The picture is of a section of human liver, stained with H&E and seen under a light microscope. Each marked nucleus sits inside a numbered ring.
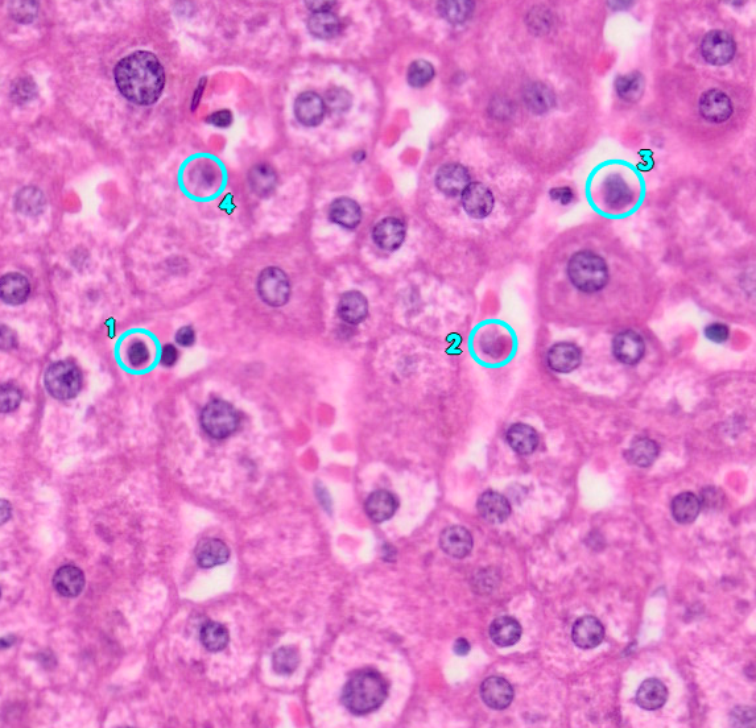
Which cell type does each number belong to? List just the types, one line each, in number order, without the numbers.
lymphocyte
Kupffer cell
endothelial cell
hepatocyte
